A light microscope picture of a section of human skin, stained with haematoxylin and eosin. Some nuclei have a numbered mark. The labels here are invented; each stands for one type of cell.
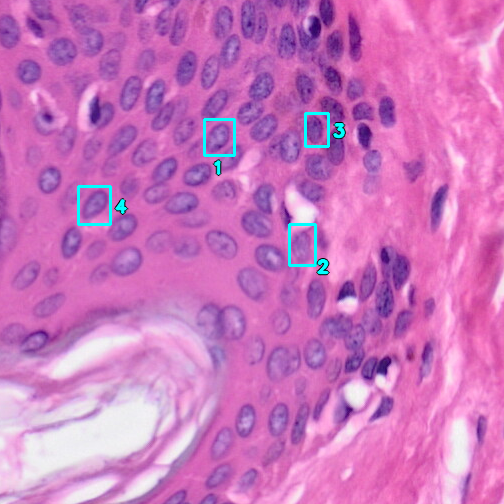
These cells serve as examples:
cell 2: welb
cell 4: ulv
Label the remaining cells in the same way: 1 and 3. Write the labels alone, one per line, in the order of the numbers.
ulv
welb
